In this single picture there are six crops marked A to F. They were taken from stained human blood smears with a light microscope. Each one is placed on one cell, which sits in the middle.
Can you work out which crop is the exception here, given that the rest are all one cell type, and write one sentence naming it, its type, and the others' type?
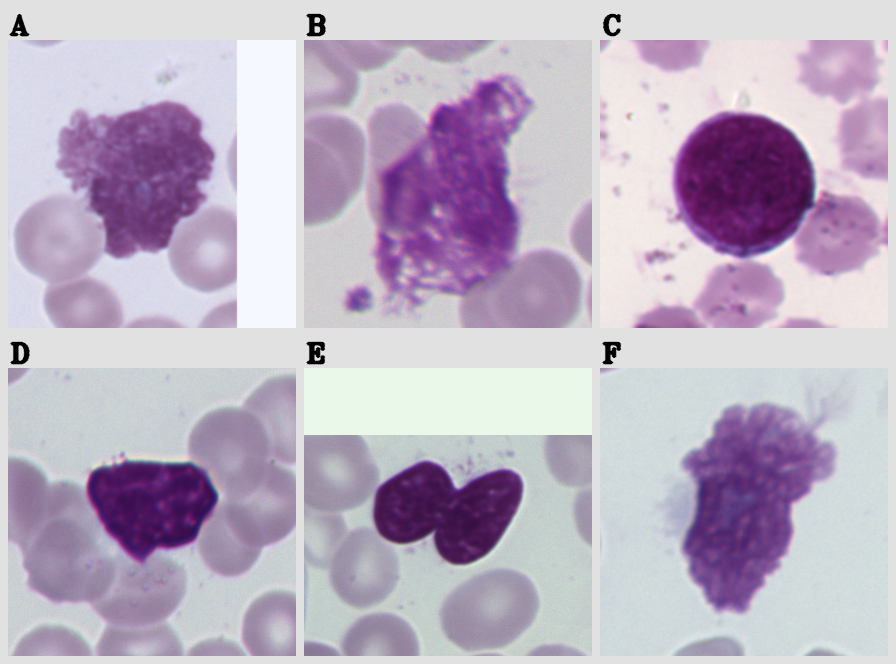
Differing from the rest, crop C shows a myeloblast; the others all show smudge cells.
